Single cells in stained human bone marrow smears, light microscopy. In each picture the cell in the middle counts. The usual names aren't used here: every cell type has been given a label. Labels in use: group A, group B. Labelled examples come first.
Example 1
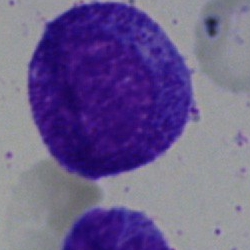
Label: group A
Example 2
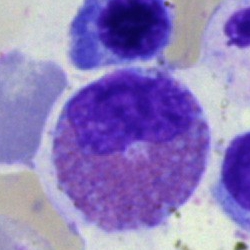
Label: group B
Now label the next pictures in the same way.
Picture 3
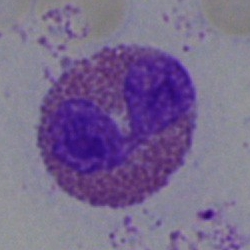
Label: group B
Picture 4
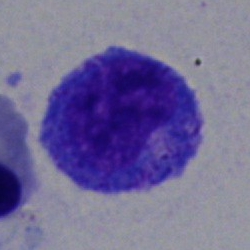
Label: group A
